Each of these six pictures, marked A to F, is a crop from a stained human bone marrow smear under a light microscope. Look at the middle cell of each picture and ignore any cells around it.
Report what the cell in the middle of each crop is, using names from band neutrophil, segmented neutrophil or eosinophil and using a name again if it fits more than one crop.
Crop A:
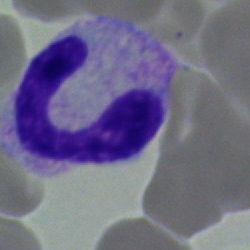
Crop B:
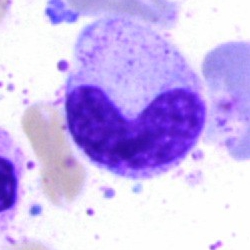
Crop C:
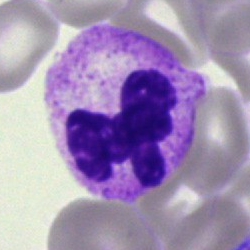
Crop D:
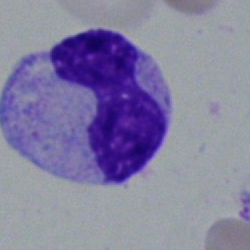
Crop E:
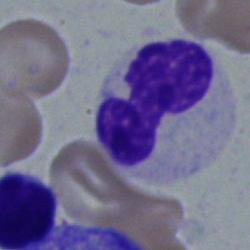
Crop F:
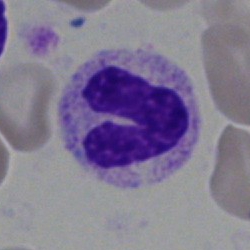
A: band neutrophil
B: band neutrophil
C: segmented neutrophil
D: band neutrophil
E: band neutrophil
F: band neutrophil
